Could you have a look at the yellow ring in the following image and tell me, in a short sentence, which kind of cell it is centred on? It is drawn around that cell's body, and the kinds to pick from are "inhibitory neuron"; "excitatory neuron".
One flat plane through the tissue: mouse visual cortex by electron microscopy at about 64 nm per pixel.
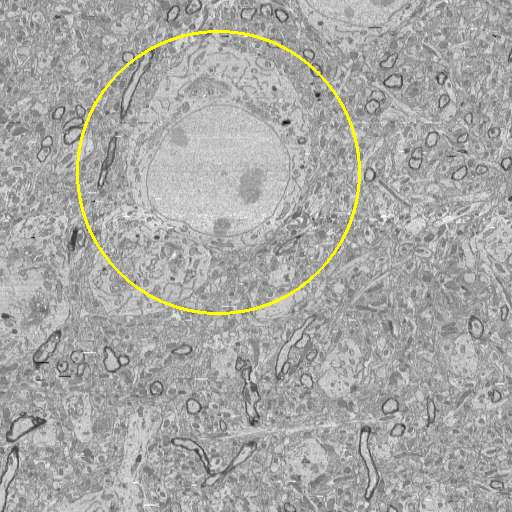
The ring is centred on the body of an excitatory neuron.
